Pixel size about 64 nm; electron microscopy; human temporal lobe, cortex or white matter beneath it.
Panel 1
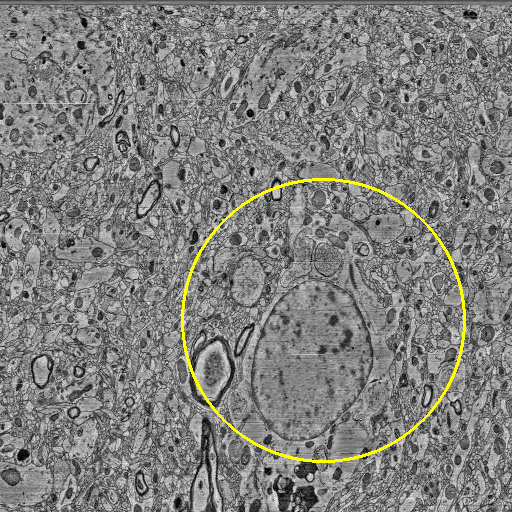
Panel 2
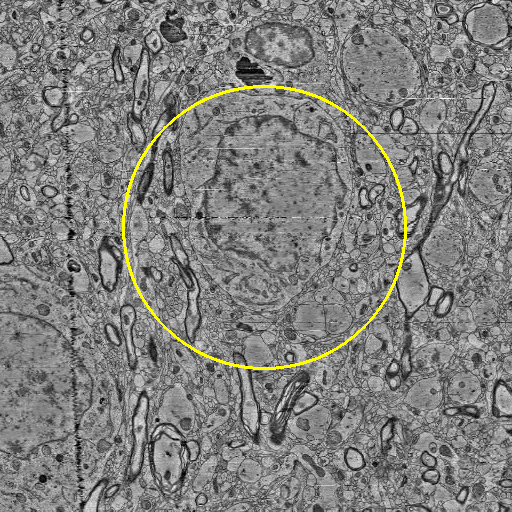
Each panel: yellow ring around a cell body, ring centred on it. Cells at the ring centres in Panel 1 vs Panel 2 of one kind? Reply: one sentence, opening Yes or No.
No, Panel 1 and Panel 2 have cells of two kinds at the ring centres.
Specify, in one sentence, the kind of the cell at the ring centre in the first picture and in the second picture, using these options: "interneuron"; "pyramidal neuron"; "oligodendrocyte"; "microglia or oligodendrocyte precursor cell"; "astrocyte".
So the first is an astrocyte, the second an interneuron.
